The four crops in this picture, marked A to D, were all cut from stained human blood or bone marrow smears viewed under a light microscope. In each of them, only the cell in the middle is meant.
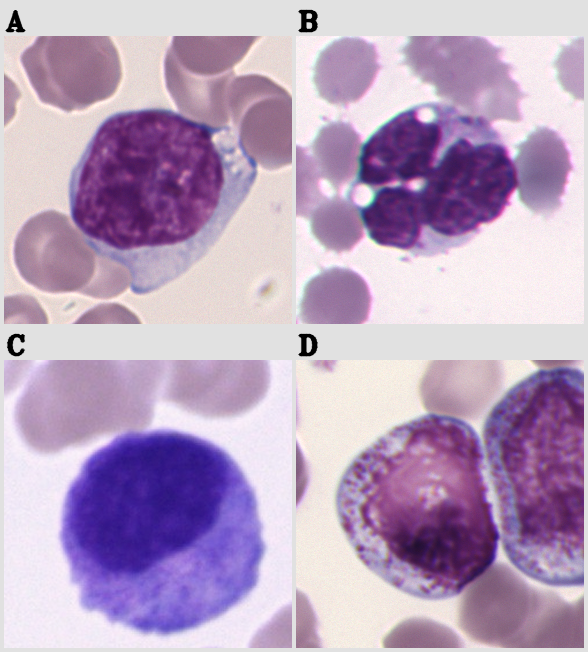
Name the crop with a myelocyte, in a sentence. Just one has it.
Crop D is the crop in which a myelocyte is shown.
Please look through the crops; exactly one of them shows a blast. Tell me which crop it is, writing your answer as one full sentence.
Of the crops shown, crop A depicts a blast.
